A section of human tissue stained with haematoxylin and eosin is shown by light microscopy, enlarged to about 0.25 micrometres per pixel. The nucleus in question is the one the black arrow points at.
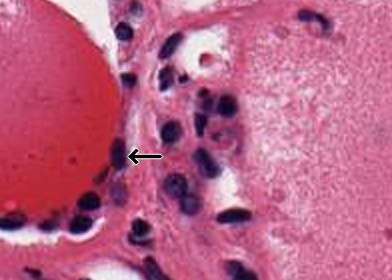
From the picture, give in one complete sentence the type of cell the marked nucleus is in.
The marked nucleus forms part of a thyroid follicular cell.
